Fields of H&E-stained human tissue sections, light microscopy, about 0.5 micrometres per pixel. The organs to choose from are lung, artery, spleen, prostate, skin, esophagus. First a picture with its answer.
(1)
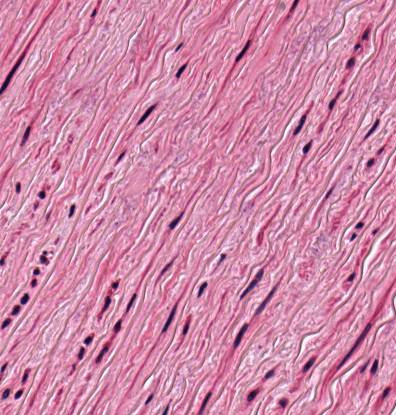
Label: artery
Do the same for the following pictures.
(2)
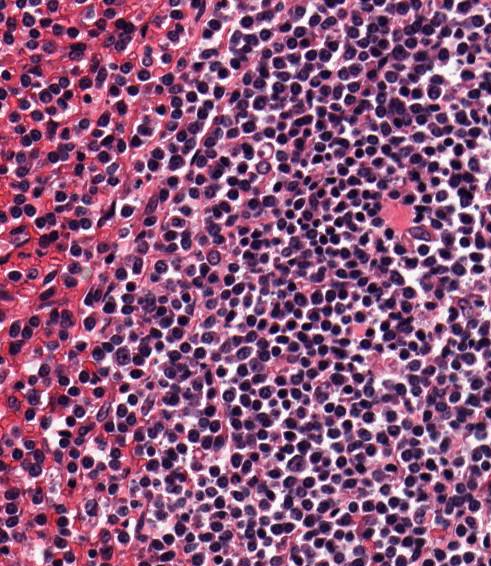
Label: spleen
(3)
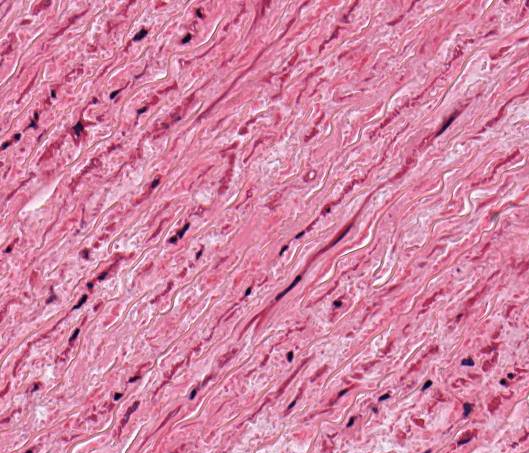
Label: artery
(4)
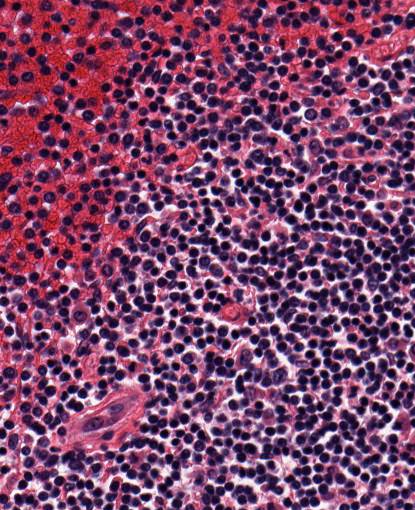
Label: spleen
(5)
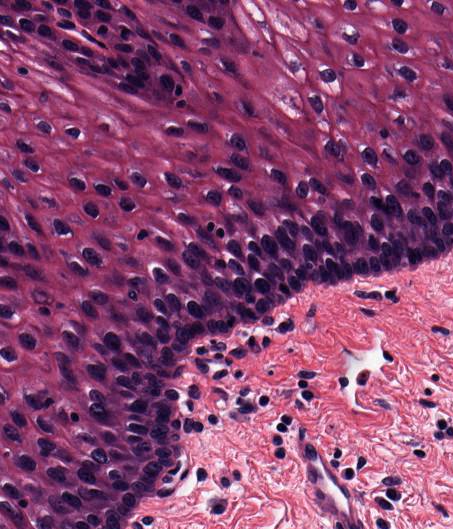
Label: esophagus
